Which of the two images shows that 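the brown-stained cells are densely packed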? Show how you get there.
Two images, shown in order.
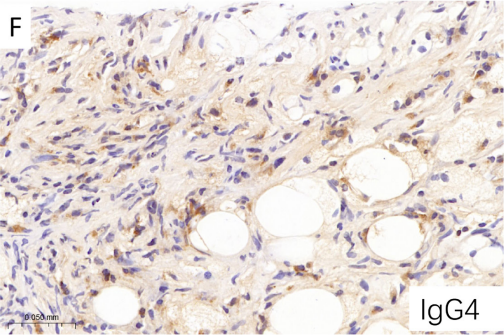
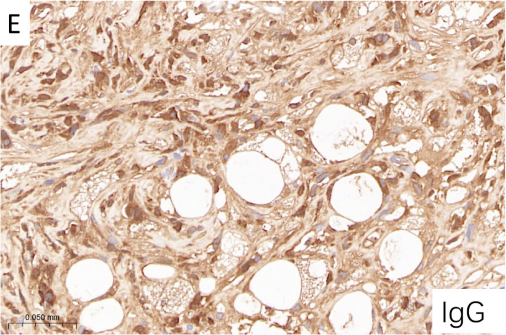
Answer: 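First image: brown-stained cells are few and scattered among blue nuclei. Second image: brown staining fills most of the tissue between fat vacuoles.
The second image.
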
